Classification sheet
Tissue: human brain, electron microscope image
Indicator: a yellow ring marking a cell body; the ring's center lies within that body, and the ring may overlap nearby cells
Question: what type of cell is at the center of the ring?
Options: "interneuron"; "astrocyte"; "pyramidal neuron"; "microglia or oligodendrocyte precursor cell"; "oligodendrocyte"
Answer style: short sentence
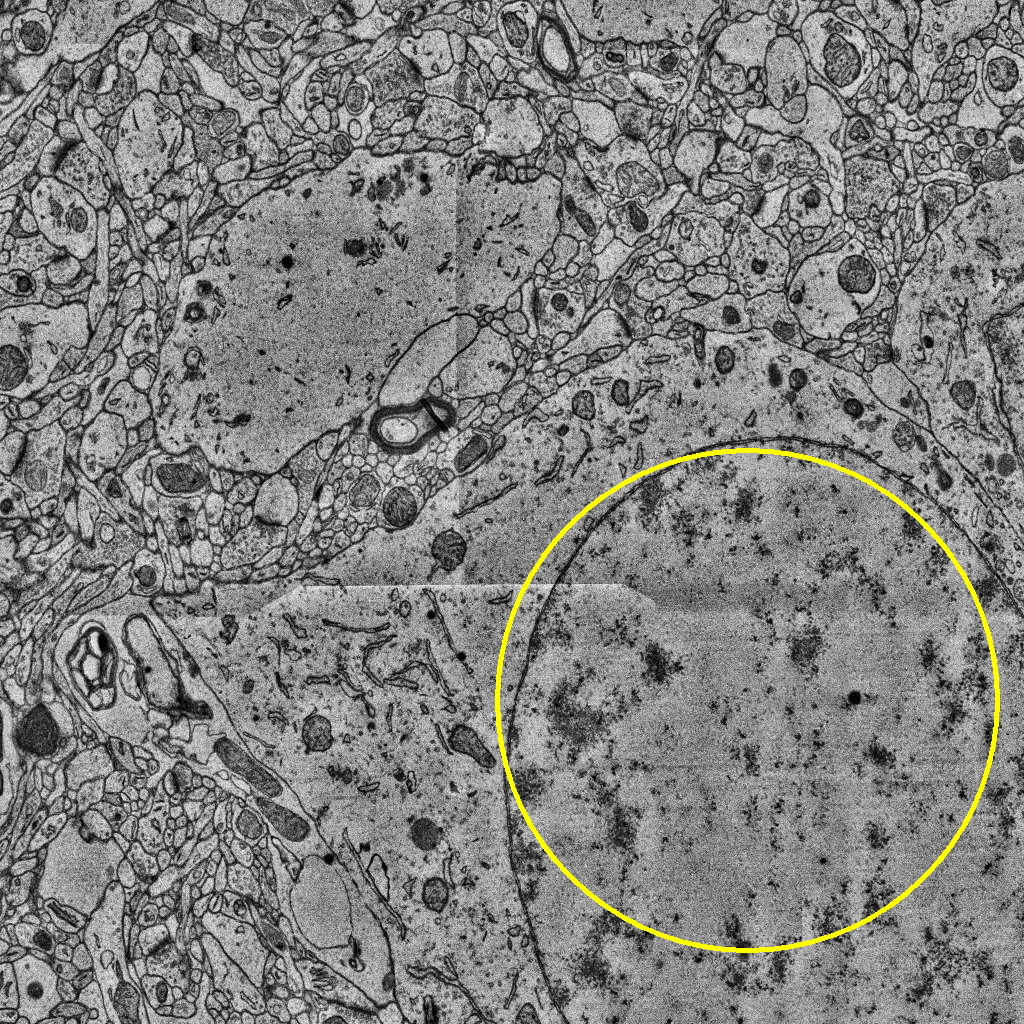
At the ring's center is a pyramidal neuron.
